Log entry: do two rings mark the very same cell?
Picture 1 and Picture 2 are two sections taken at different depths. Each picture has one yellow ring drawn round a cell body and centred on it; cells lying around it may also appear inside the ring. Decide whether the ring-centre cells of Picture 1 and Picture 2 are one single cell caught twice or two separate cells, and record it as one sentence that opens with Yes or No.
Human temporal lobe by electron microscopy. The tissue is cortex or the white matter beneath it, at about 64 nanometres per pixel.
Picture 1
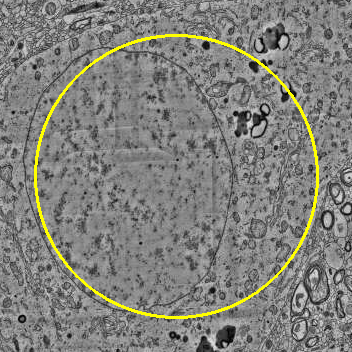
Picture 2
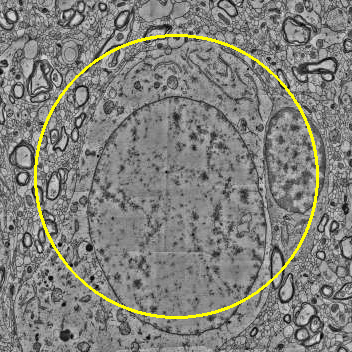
No, the rings single out two cells that are separate from each other.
